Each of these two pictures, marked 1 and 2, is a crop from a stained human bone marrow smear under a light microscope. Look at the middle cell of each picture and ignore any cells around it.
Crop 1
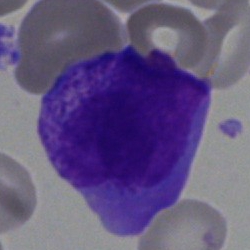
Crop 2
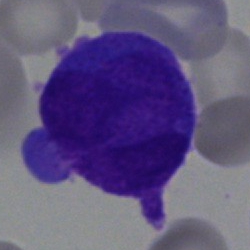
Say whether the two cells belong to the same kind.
yes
